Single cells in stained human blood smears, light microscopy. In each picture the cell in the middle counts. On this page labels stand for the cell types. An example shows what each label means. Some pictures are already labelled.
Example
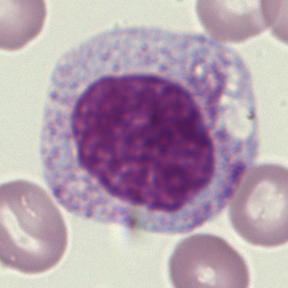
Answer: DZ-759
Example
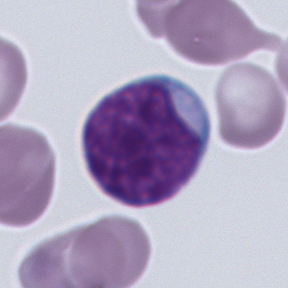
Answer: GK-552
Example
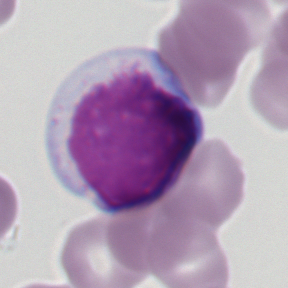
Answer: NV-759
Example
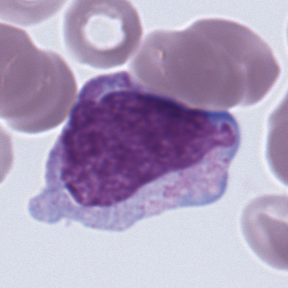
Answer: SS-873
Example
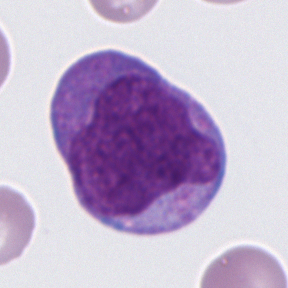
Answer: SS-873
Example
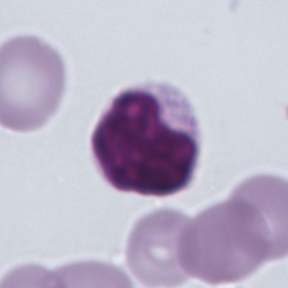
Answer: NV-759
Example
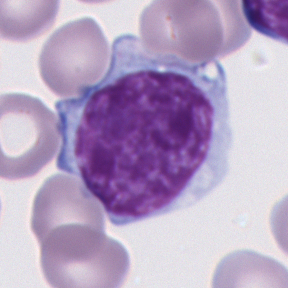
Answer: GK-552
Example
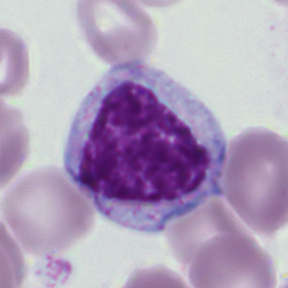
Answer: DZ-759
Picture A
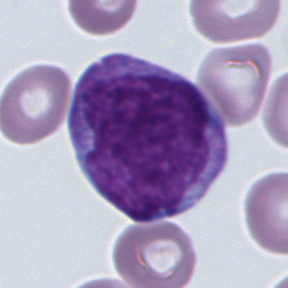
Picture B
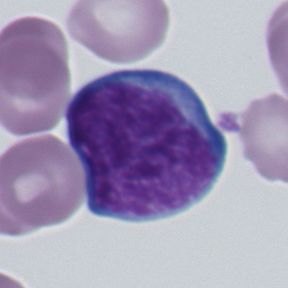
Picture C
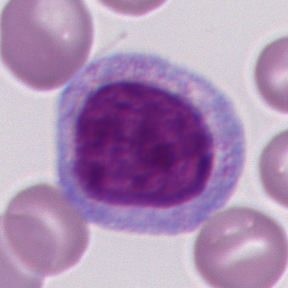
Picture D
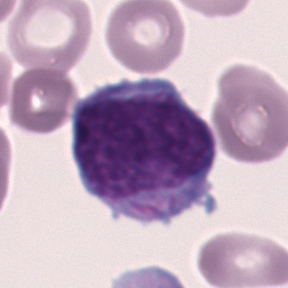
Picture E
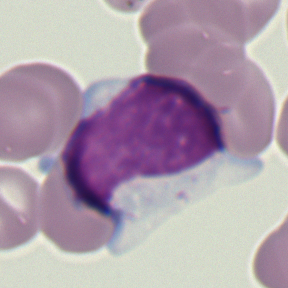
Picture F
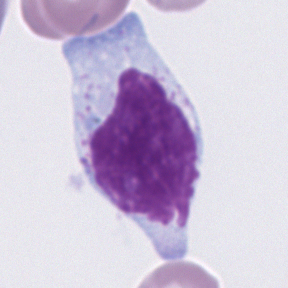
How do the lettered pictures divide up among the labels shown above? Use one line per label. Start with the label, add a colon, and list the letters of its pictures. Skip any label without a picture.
DZ-759: C
GK-552: B
NV-759: E, F
SS-873: A, D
